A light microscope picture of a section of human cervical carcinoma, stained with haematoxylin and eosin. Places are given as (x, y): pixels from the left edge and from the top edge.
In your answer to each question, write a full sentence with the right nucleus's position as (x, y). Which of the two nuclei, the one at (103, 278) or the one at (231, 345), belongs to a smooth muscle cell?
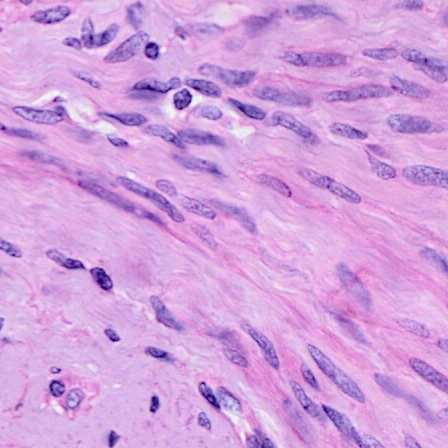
Of these two nuclei, it is the one at (231, 345) that belongs to a smooth muscle cell.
